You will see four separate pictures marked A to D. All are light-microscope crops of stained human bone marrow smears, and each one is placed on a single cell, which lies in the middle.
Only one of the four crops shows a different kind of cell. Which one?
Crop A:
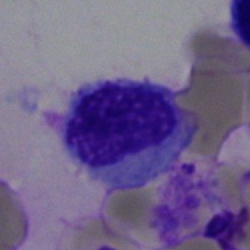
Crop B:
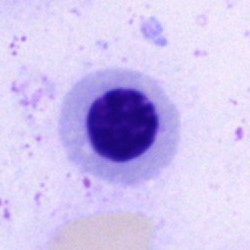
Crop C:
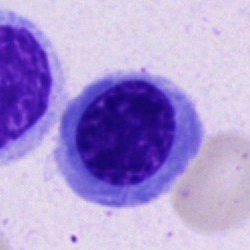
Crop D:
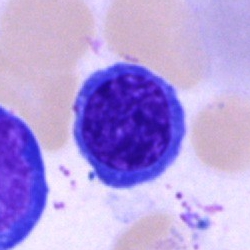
A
